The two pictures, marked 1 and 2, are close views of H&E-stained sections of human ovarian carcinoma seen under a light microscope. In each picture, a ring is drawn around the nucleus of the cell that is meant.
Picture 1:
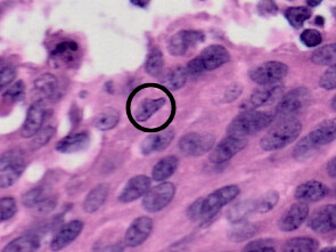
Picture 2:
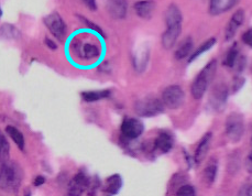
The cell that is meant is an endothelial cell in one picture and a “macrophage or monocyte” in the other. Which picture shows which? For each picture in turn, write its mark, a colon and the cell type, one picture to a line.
1: macrophage or monocyte
2: endothelial cell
